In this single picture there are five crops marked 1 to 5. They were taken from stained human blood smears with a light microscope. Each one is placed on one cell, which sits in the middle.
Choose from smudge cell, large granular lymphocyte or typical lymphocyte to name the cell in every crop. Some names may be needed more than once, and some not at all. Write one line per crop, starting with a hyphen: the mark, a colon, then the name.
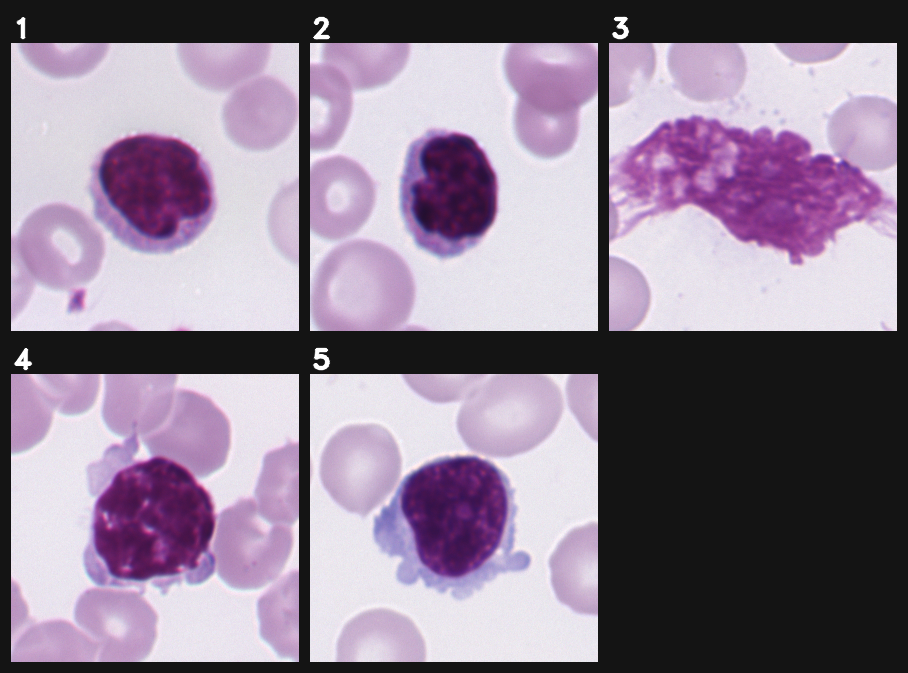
- 1: large granular lymphocyte
- 2: typical lymphocyte
- 3: smudge cell
- 4: typical lymphocyte
- 5: typical lymphocyte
